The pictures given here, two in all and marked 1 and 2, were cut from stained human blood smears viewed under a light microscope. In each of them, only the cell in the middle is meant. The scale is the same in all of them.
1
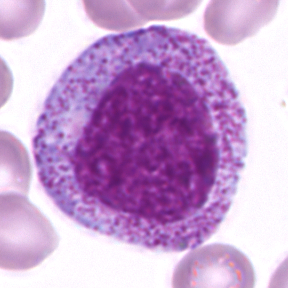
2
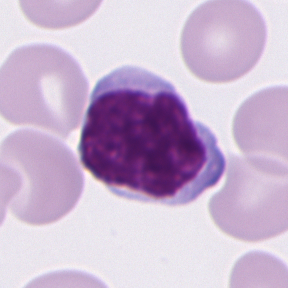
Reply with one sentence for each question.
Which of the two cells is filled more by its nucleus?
It is the cell in crop 2 that is filled more by its nucleus.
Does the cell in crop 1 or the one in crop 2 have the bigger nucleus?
Larger is the nucleus in crop 1, at roughly 1.5 times the area of the other.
